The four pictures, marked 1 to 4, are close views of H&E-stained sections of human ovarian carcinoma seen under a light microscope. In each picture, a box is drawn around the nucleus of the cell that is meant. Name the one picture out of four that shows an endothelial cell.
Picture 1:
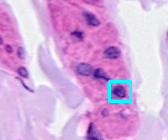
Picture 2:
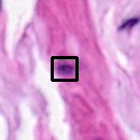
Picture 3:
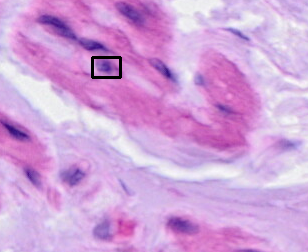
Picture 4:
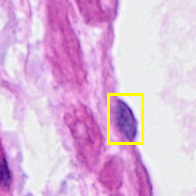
4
